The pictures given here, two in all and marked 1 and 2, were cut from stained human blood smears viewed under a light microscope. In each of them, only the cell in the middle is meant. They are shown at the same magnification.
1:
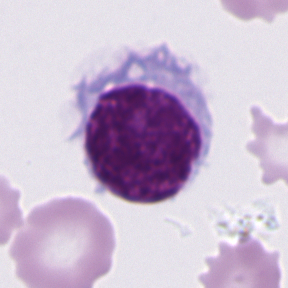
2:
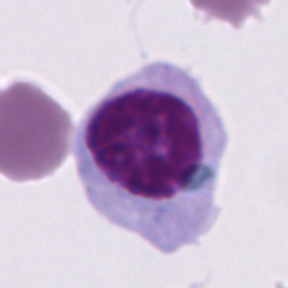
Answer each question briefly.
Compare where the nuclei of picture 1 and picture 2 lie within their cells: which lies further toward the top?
2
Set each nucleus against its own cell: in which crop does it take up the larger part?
1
